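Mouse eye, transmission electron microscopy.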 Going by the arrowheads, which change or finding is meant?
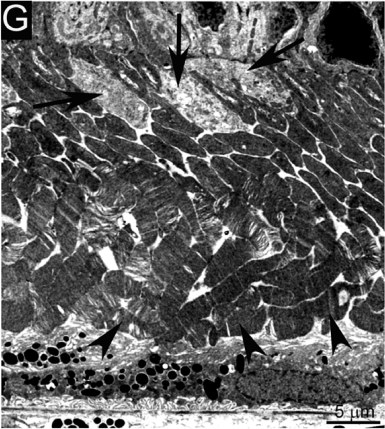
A: outer segment disorientation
